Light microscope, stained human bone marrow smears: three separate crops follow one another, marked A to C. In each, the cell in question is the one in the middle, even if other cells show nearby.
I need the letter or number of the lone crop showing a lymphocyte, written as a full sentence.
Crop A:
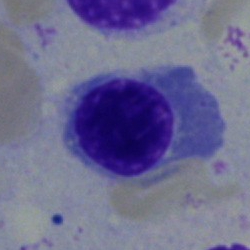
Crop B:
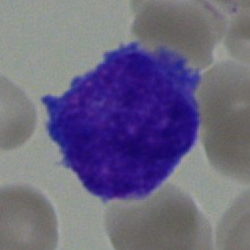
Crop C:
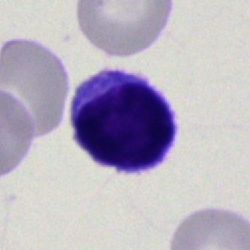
The crop marked C is the one that shows a lymphocyte.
